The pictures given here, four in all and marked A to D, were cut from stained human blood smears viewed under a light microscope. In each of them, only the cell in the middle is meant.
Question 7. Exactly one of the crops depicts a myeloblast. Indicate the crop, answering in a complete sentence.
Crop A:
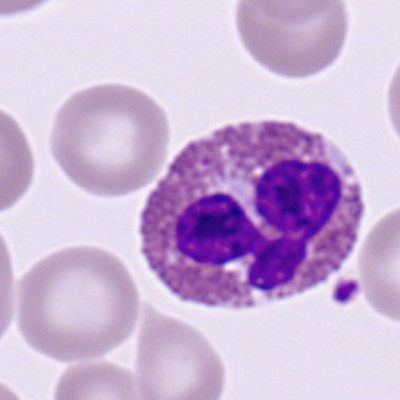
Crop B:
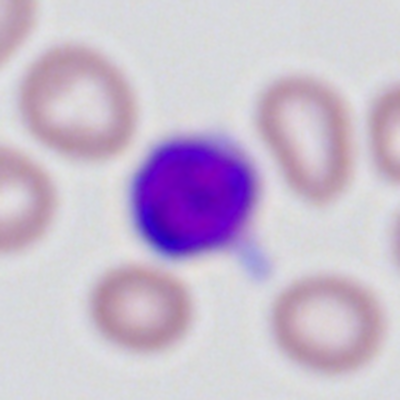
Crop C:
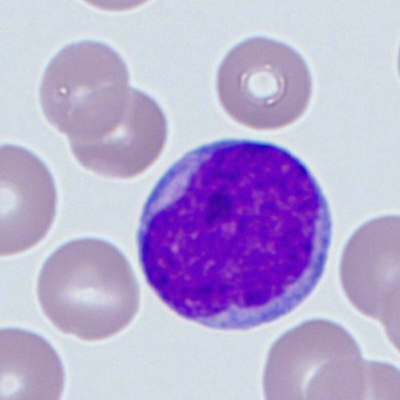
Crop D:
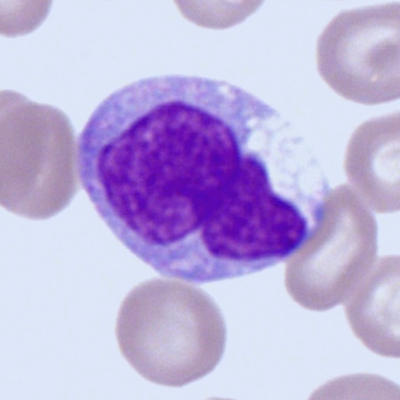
The correct choice is crop C, the one showing a myeloblast.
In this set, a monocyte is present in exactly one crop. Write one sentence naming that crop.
The crop with a monocyte in it is crop D.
